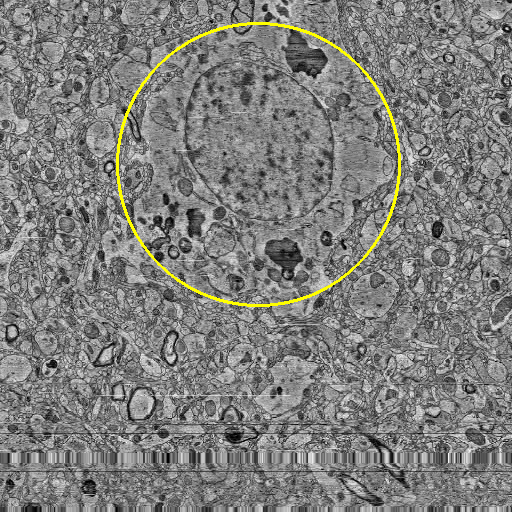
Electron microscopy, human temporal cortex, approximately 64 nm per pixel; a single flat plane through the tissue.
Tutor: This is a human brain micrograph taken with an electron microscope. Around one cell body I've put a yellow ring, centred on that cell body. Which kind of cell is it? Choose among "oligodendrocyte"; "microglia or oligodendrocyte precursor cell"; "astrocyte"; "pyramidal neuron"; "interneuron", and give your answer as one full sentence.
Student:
Going by your list, the cell centred in the yellow ring is an astrocyte.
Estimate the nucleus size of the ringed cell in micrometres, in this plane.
Approximately 11 micrometres long and 9 micrometres wide, in this plane.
